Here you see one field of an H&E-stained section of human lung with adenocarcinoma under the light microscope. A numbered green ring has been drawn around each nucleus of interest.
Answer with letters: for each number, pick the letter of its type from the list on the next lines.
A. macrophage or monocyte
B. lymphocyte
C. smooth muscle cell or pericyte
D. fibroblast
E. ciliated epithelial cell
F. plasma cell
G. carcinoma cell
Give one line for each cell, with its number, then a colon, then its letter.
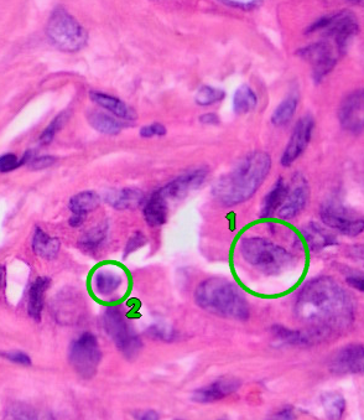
1: G
2: B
